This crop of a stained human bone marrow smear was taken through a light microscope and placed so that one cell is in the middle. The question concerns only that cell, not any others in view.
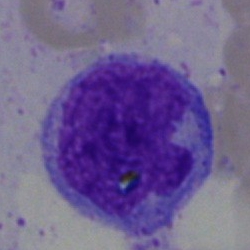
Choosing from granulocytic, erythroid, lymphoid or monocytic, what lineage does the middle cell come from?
monocytic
